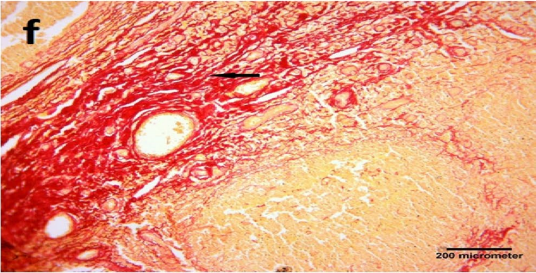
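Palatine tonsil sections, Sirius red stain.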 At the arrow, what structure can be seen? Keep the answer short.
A: thick collagen fibers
